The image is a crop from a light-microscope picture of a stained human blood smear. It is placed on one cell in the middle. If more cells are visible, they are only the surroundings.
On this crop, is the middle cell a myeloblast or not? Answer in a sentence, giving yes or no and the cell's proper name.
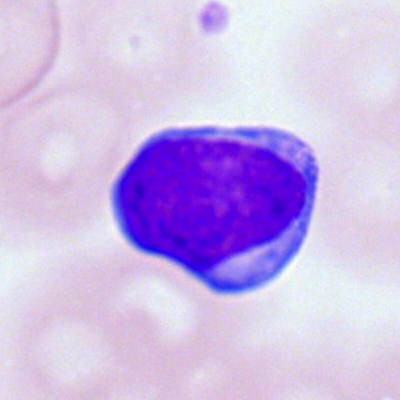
Yes, this crop has a myeloblast at its centre.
